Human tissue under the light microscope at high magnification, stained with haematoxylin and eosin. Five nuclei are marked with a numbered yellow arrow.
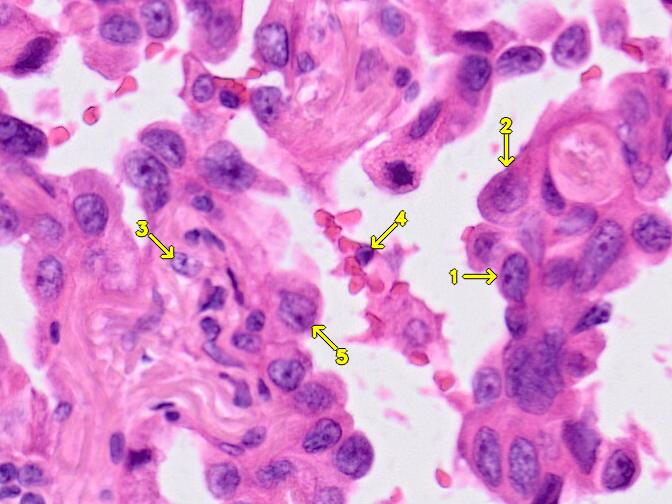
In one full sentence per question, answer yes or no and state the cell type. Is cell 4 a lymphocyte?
Yes, to put it simply, cell number 4 is a lymphocyte.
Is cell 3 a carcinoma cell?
No, the cell carrying number 3 is a fibroblast rather than a carcinoma cell.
